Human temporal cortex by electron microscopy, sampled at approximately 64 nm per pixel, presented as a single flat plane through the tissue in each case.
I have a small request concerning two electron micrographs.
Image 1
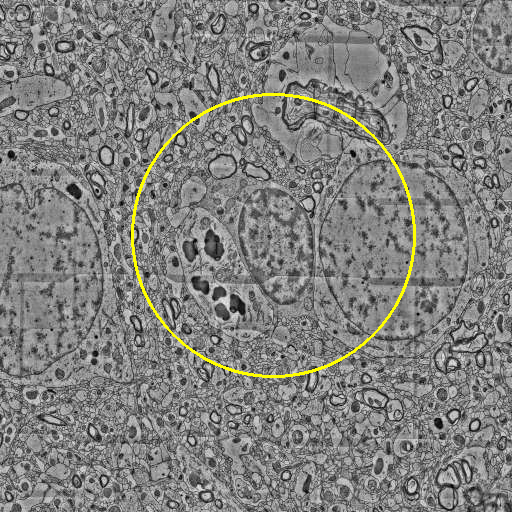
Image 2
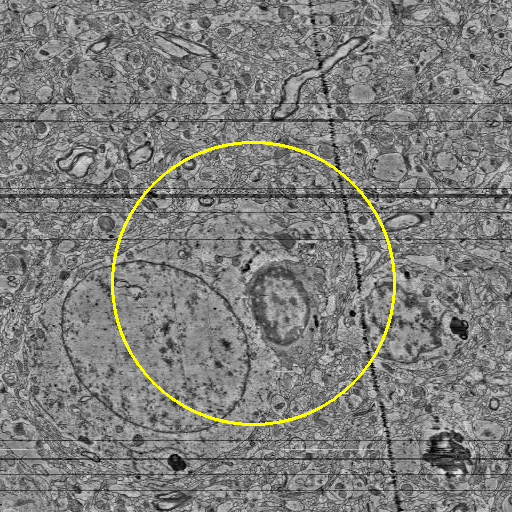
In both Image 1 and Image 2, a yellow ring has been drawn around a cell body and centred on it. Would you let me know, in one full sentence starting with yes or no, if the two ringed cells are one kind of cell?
Yes, the cells ringed in Image 1 and Image 2 are one kind of cell.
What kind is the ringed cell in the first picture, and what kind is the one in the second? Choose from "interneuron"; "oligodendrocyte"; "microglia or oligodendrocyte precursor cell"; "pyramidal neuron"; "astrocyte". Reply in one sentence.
The first and the second cell are each an oligodendrocyte.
